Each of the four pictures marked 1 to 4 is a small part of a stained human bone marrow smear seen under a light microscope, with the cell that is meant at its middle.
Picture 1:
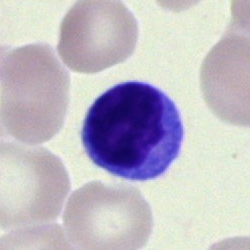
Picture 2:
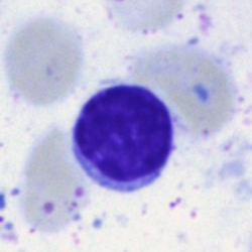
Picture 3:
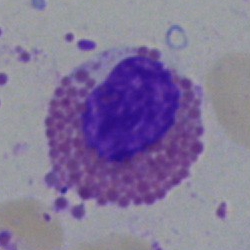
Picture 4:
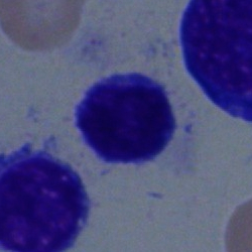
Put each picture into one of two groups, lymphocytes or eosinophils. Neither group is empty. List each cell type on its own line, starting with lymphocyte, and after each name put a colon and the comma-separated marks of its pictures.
lymphocyte: 1, 2, 4
eosinophil: 3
